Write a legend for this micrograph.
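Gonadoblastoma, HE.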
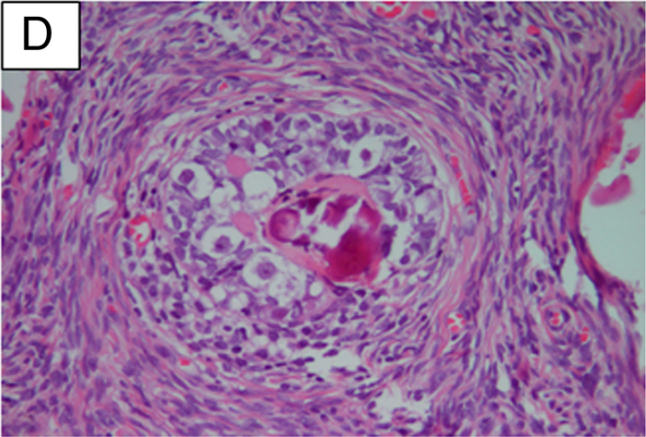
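A rounded nest of tumour cells is seen, mixing large cells with pale, clear, vacuolated cytoplasm and smaller cells with dark nuclei, centred on a dense, irregular, deep pink-red acellular deposit. The nest has a distinct border and is wrapped by concentric layers of spindle-shaped cells, with red blood cells in small vessels nearby. This is a tumour nest of round to ovoid cells enclosed by fibrous connective tissue, with calcification at its centre.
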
